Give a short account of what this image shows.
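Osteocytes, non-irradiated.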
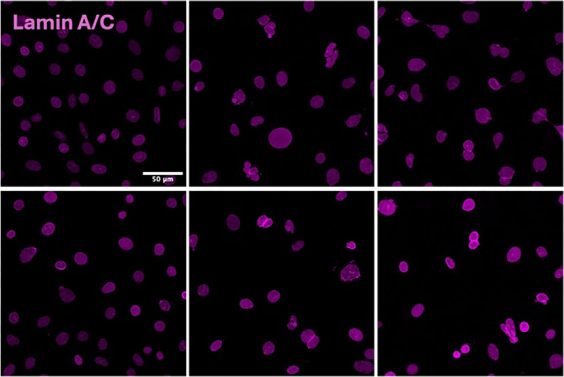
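Most nuclei are smooth ovals of fairly even size, spread apart from one another across a dark field, so that each magenta shape stands for one cell. In many of them the edge is a little brighter than the centre, as one expects of a stained envelope seen around the nucleus. Here and there the picture is less tidy: some nuclei are larger and rounder, others look crumpled or folded, with irregular bright creases, and a few are small, dense and intensely bright.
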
